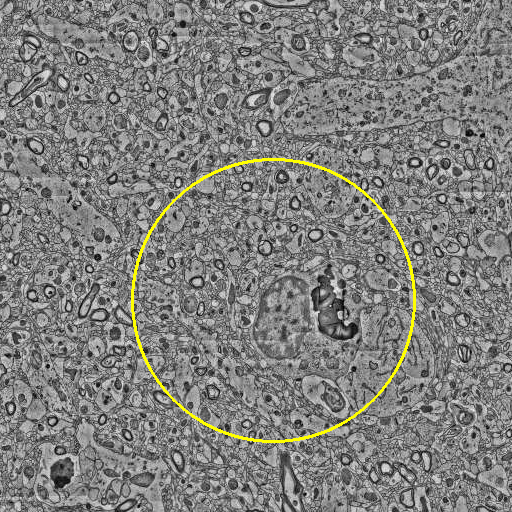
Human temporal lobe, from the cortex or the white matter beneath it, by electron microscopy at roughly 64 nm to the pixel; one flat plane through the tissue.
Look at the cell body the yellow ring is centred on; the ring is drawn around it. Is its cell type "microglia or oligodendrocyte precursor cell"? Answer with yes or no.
No, its cell type is another.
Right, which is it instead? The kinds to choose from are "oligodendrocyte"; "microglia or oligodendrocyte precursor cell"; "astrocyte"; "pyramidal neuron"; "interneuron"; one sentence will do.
The cell this ring marks is an oligodendrocyte.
